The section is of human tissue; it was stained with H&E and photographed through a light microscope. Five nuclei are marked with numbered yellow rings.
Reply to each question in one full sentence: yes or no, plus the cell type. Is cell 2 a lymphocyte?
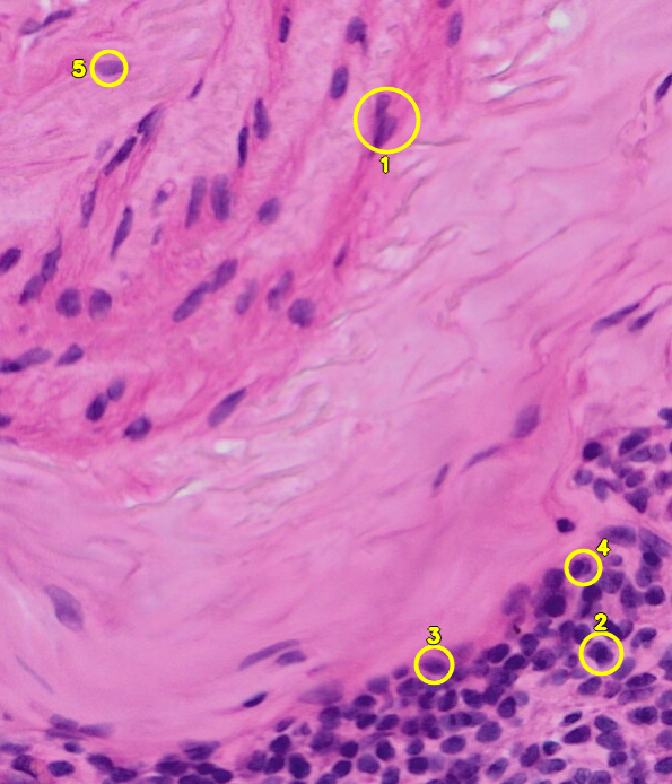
Yes, of the numbered cells, number 2 is a lymphocyte.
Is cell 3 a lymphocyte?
Yes, the cell pointed out as number 3 is a lymphocyte.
